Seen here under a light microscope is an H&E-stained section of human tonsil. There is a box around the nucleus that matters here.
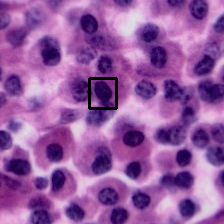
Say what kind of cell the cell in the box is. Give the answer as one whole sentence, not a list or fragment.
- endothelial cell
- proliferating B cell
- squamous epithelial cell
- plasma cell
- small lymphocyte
In short, the cell in the box on this section is a plasma cell.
